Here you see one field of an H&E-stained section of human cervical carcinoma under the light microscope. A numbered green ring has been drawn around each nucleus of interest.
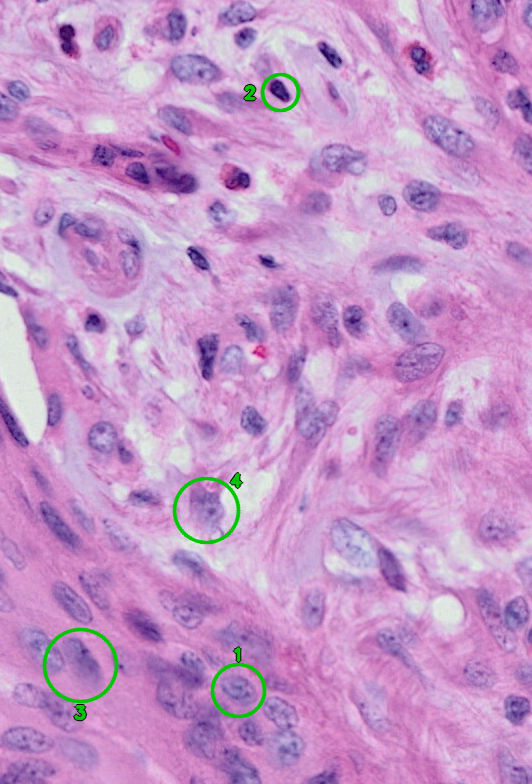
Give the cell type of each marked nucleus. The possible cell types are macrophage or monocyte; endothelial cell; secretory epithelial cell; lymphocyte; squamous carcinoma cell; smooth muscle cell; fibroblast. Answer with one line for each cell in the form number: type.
1: squamous carcinoma cell
2: lymphocyte
3: squamous carcinoma cell
4: fibroblast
